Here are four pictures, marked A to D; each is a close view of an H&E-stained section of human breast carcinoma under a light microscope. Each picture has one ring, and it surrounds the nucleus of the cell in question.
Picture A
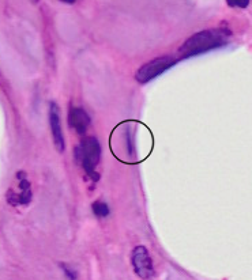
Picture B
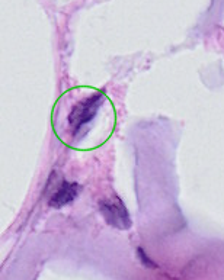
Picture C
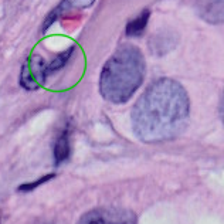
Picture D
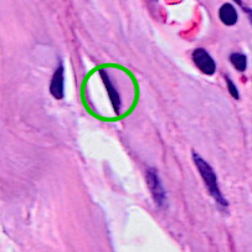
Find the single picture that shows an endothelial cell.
C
